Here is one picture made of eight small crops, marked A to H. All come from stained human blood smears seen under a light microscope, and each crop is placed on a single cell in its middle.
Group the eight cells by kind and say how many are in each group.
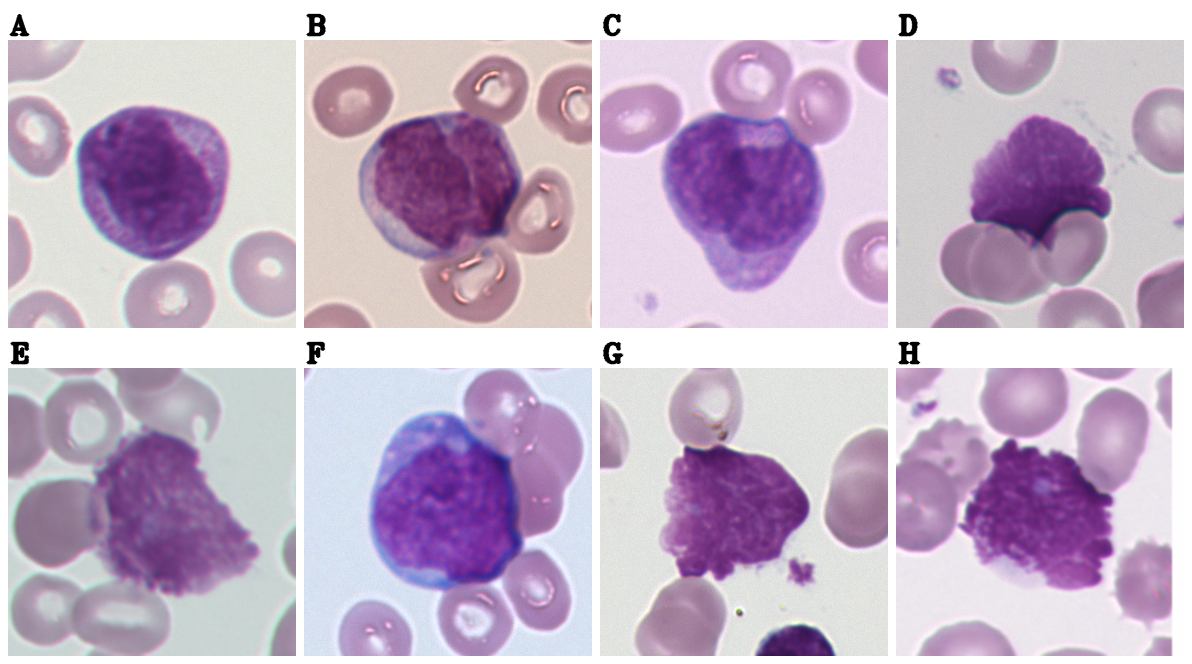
atypical promyelocyte: 4
smudge cell: 4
